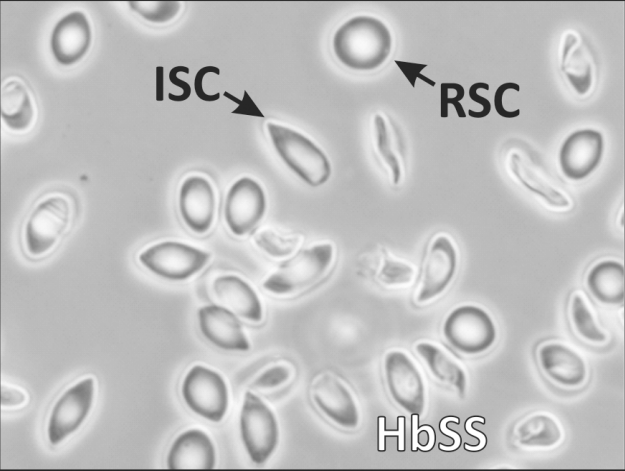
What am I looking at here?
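Red cells without nuclei are crowded here in a strikingly mixed range of shapes. A few are round discs with a bright rim like normal red cells, while many are oval, spindle-shaped or drawn out to points at both ends. Some are narrow, folded or crescent-like with creased outlines, and a few are small and irregular.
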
